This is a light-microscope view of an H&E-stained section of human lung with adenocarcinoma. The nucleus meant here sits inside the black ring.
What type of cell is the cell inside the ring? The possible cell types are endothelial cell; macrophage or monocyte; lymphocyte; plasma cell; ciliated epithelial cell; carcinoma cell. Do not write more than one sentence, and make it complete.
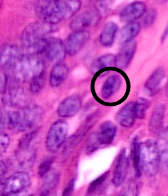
Cell type answer for this item: the cell inside the ring is a ciliated epithelial cell.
